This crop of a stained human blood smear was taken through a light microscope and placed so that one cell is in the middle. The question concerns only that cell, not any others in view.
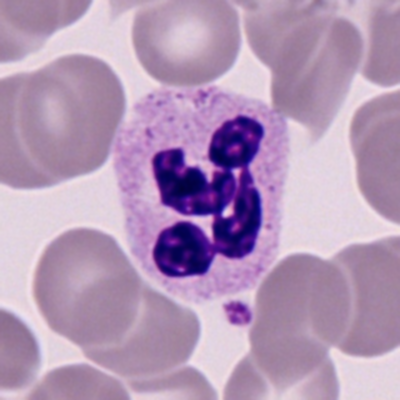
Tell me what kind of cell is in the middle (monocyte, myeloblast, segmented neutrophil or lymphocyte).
segmented neutrophil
